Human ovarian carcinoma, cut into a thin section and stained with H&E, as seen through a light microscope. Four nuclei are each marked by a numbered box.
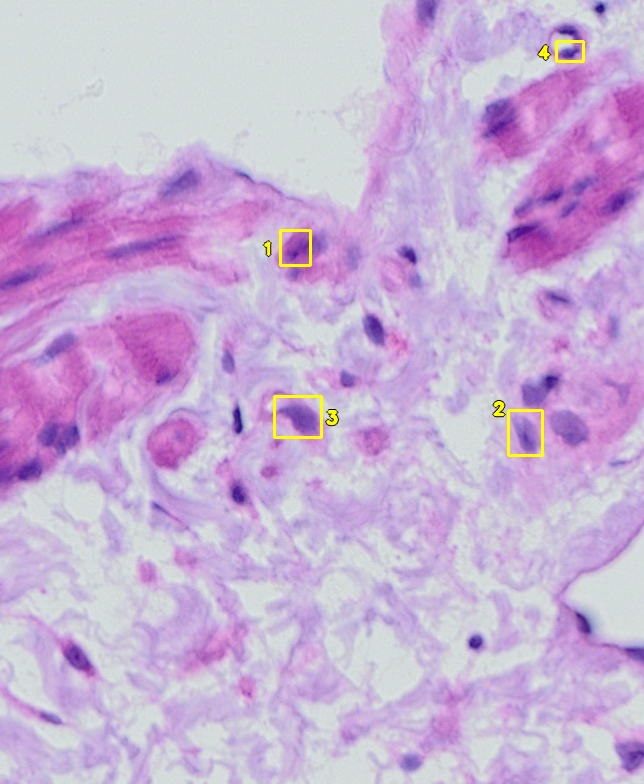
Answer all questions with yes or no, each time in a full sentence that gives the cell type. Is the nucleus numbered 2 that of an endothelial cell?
No, cell 2 is to be read as a fibroblast, not an endothelial cell.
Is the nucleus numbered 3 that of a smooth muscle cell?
No, not a smooth muscle cell: the cell with number 3 is an endothelial cell.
